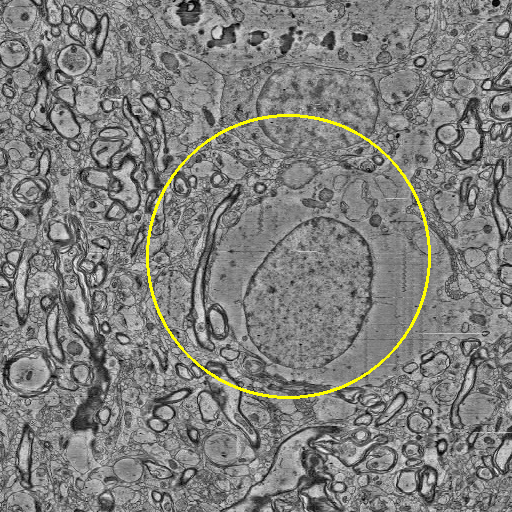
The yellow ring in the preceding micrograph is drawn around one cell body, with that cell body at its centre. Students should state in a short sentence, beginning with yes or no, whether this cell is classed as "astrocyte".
Yes, this cell is of that type.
